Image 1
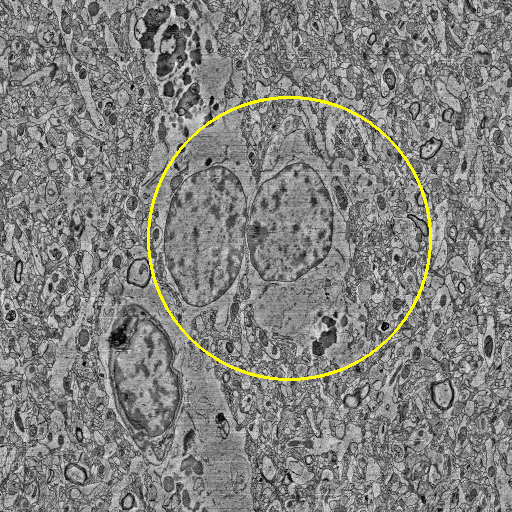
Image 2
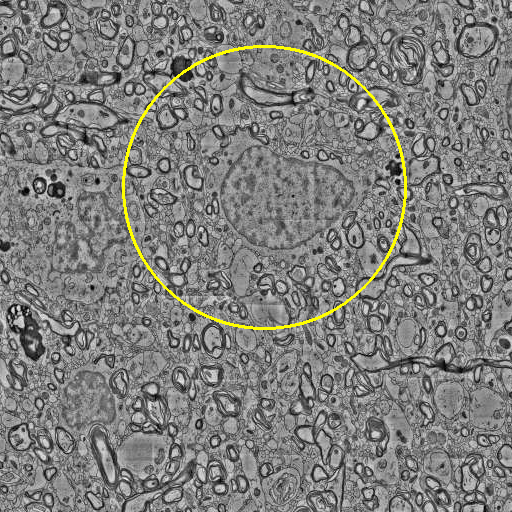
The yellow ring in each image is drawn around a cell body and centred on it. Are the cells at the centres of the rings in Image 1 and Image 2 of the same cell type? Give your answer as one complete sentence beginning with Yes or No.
No, the two cells are of two separate types.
